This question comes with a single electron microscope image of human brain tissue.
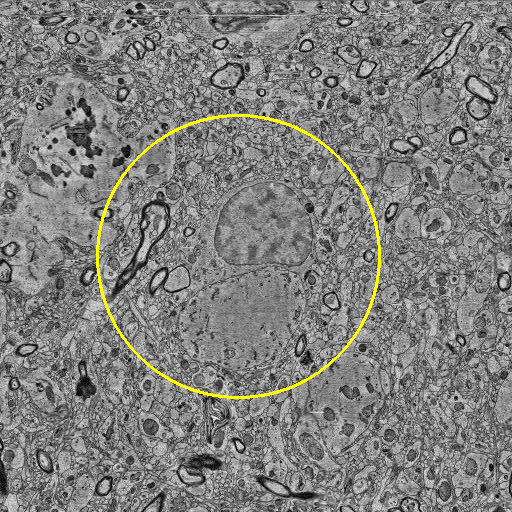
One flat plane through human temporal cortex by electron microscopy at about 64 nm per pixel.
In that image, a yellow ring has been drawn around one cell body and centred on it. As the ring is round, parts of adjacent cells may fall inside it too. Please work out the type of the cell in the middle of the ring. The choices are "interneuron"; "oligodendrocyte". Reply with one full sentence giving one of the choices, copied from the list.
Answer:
Of the choices, an oligodendrocyte is the cell sitting in the middle of the ring.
